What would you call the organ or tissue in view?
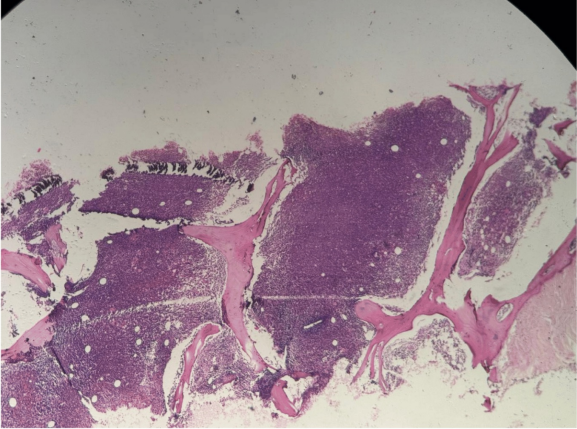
Bone marrow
